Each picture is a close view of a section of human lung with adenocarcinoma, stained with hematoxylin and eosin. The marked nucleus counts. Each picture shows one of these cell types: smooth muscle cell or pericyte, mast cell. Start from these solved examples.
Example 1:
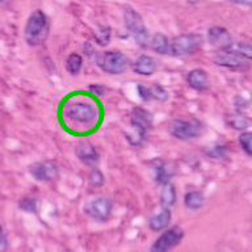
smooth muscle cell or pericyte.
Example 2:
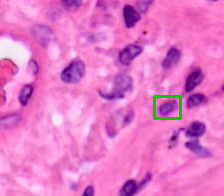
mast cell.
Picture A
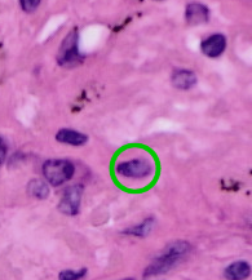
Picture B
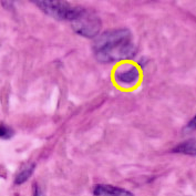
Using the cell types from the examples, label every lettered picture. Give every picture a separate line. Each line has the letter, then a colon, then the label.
A: mast cell.
B: smooth muscle cell or pericyte.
